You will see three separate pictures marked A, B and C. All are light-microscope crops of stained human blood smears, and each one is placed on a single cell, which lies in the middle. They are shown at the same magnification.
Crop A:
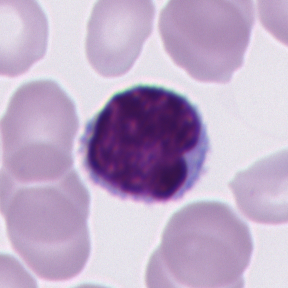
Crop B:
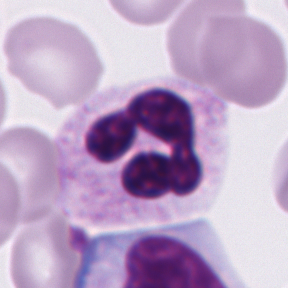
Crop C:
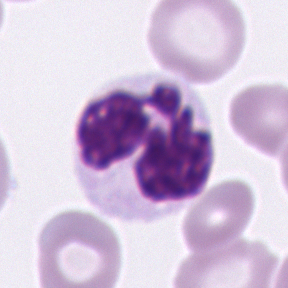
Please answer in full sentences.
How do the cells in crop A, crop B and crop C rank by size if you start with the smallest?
Smallest first: A, C, B.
